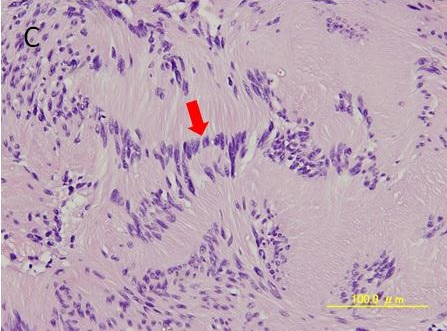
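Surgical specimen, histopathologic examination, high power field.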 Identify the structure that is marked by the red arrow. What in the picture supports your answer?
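Verocay bodies. Elongated nuclei lined up side by side in a row. Rows of aligned nuclei separated by pink nucleus-free fibrillar zones.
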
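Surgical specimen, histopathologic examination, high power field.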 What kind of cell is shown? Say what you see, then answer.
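Spindle shaped Schwann cells. Cells with elongated, dark purple nuclei. Nuclei arranged in parallel rows. Pink fibrillar material between the rows.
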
